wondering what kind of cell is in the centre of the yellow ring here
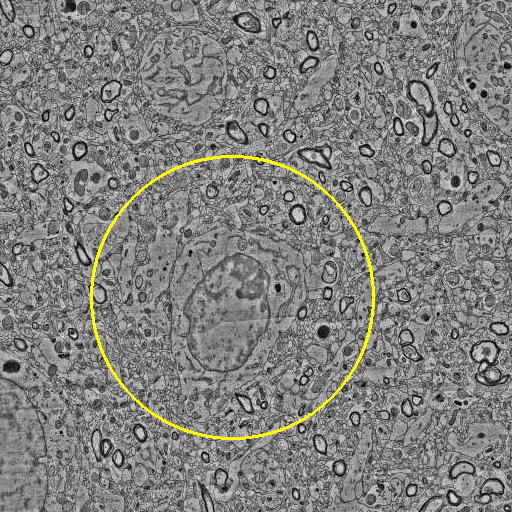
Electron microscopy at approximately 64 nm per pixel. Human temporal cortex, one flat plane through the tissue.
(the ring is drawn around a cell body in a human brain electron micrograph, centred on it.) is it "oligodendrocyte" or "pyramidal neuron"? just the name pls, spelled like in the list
pyramidal neuron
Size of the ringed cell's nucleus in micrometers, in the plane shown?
Roughly 8 by 5 micrometres is the size of the nucleus in this plane.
